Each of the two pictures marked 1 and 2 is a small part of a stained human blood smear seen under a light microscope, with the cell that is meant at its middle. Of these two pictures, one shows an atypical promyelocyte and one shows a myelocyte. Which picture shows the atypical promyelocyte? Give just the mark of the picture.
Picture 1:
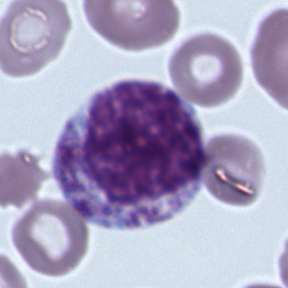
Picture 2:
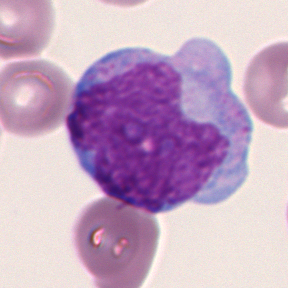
2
